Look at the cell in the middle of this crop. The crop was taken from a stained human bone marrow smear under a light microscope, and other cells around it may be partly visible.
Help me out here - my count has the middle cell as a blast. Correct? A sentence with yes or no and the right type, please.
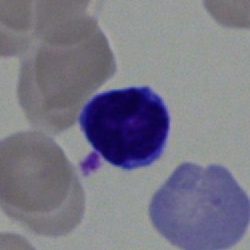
No, the middle of the crop holds a lymphocyte, not a blast.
